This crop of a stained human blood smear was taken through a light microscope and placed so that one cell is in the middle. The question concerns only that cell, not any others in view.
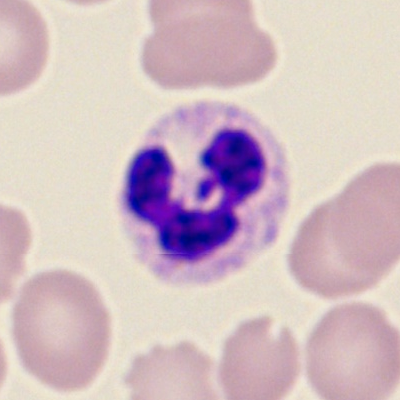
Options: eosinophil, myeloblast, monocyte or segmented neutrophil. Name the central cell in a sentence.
As for the central cell, it is a segmented neutrophil.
